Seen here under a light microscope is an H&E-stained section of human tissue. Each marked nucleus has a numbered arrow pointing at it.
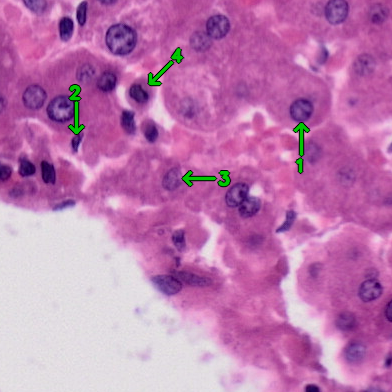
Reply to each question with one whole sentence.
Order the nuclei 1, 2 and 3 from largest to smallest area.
Largest first, the order by area is 1, 3, 2.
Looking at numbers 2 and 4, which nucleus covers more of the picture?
The larger nucleus is 4, at roughly 2 times the area of 2.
